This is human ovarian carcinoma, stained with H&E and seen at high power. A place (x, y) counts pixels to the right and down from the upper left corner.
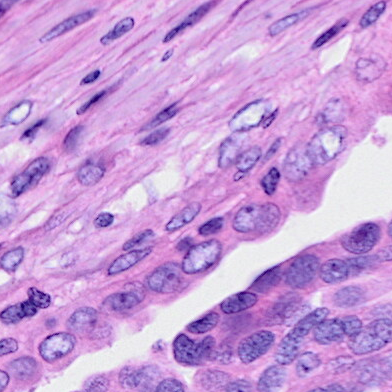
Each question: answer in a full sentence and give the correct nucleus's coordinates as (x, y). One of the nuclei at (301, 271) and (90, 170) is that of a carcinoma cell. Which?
The nucleus of a carcinoma cell lies at (301, 271), not at the other position.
